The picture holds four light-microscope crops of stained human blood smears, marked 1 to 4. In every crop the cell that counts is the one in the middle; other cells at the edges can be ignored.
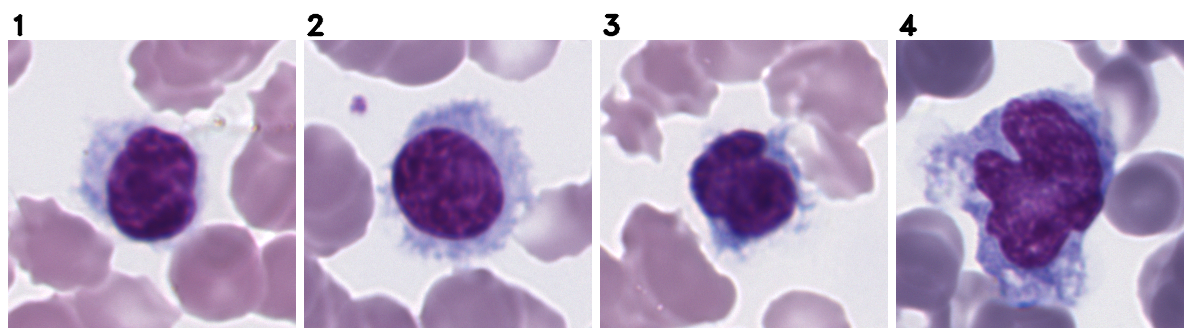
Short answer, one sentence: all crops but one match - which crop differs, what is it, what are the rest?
The different crop is 4; it is a monocyte, and the others all show hairy cells.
